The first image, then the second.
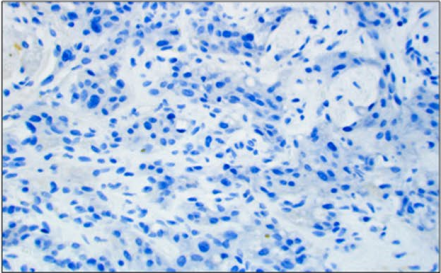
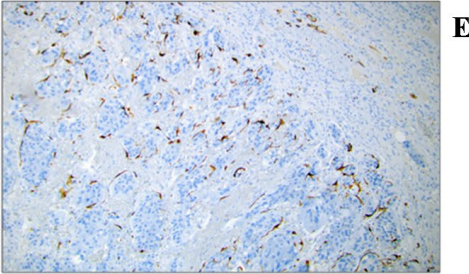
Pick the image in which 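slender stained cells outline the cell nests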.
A: The second image.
